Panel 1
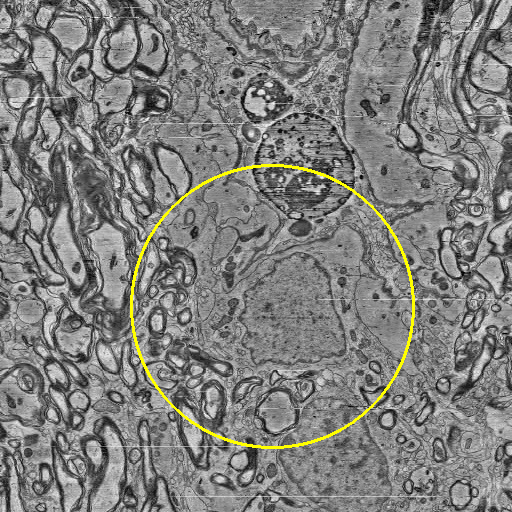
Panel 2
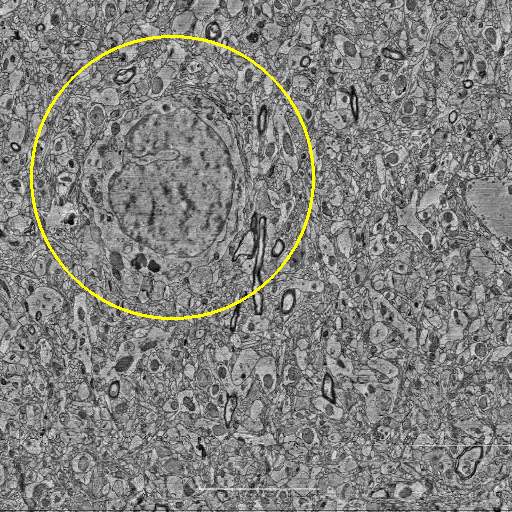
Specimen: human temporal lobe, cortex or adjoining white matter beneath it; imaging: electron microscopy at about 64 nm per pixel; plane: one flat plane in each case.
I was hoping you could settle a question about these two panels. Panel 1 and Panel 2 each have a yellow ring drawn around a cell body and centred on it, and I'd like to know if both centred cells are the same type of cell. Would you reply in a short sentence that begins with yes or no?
No, they are two types of cell.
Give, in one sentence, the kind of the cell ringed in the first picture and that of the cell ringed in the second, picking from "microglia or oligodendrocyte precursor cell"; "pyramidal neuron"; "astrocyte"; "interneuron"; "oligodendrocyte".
For the first picture it is an astrocyte; for the second, an interneuron.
